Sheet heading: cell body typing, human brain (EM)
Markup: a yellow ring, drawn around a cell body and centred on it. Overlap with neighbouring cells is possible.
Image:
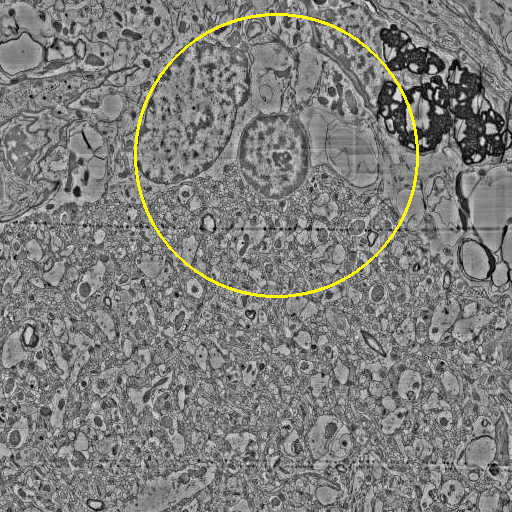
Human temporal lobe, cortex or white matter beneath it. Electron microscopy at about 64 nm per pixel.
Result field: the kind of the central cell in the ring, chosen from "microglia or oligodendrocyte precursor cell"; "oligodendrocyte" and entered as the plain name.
oligodendrocyte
